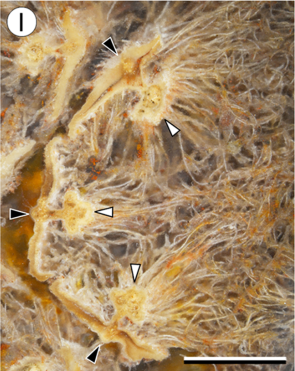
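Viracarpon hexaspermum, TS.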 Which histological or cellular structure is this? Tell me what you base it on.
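Trichomes. Dense mass of fine, long, thread-like hairs radiating from pale central structures. Hairs fill much of the space in the field.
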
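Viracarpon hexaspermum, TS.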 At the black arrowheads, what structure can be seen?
Perianth elements.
